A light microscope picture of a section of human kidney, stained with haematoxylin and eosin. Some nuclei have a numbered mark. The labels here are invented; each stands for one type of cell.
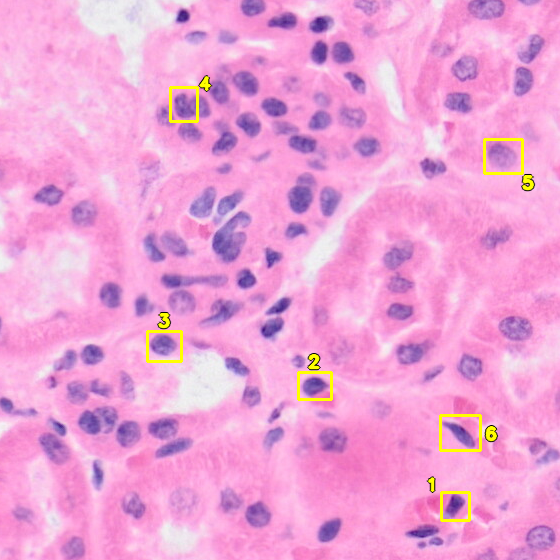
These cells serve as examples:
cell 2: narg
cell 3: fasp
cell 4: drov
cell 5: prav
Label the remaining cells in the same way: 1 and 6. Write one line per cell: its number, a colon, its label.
1: narg
6: narg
